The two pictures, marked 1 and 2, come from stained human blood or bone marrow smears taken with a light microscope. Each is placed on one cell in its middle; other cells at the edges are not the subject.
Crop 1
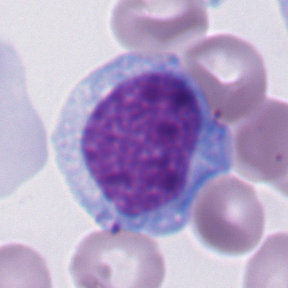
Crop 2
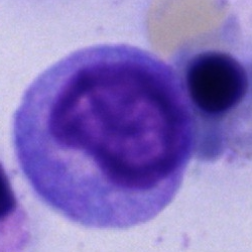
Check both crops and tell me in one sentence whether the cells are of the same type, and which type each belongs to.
Yes, both crops show promyelocytes, each crop centred on one of them.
